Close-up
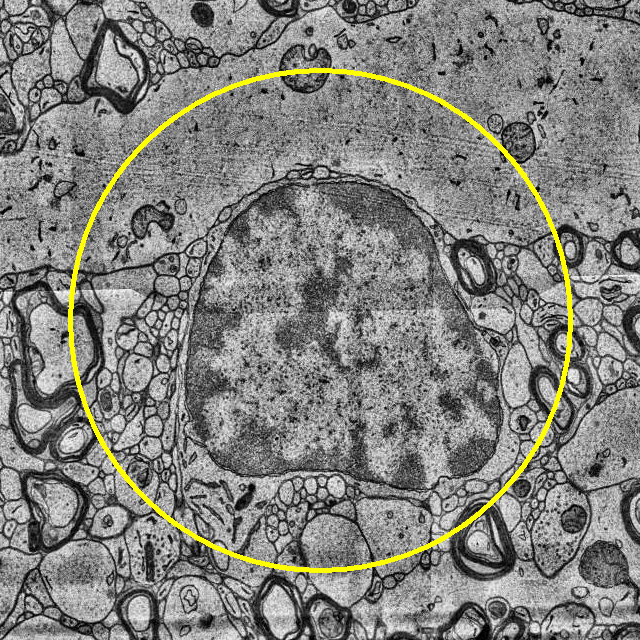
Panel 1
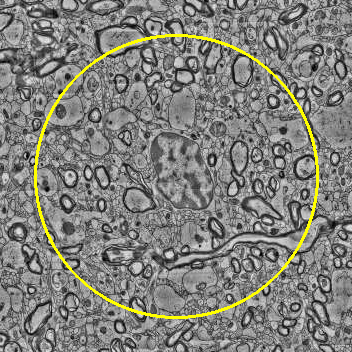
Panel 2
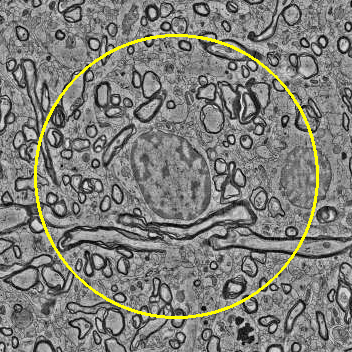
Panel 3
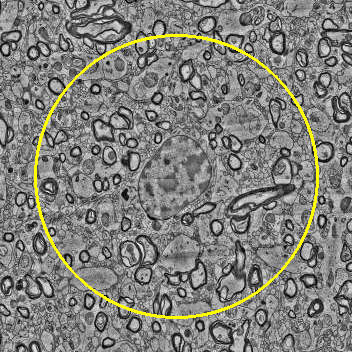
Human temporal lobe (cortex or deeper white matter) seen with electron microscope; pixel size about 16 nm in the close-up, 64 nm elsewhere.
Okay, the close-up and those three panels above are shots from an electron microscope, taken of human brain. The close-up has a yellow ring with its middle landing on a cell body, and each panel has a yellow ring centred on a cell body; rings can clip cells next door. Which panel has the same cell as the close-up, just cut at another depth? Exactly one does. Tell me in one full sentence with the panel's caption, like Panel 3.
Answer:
The cell seen up close is the one ringed within Panel 1.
